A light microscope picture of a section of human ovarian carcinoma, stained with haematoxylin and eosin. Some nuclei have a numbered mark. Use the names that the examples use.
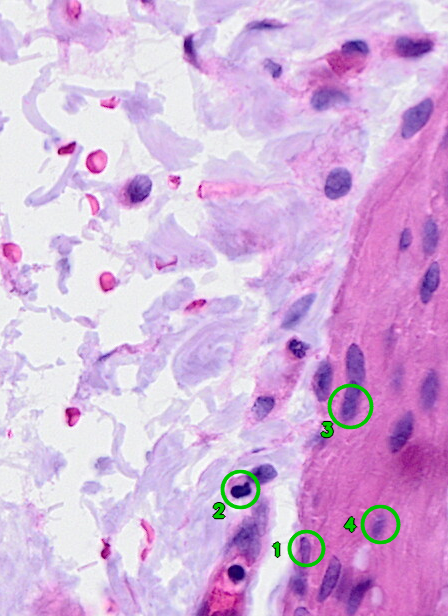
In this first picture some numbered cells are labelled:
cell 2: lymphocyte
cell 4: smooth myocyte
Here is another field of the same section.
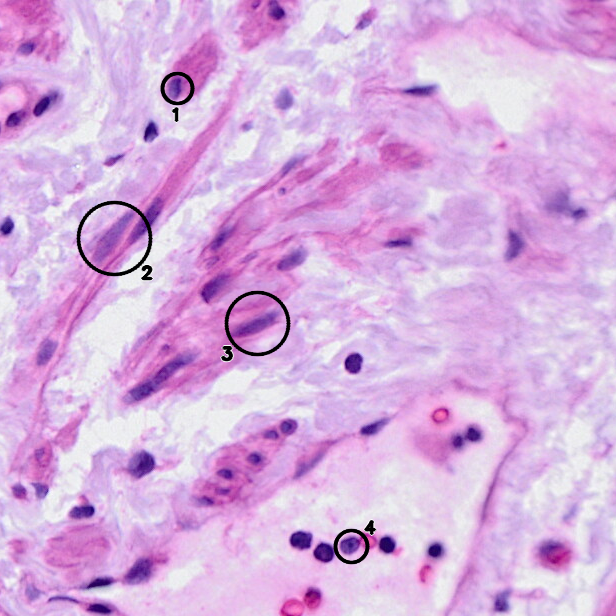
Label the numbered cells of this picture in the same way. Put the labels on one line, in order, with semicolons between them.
smooth myocyte; smooth myocyte; smooth myocyte; lymphocyte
